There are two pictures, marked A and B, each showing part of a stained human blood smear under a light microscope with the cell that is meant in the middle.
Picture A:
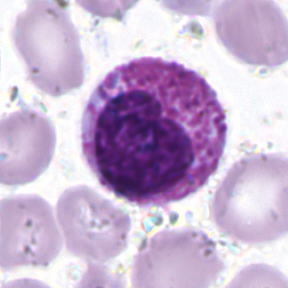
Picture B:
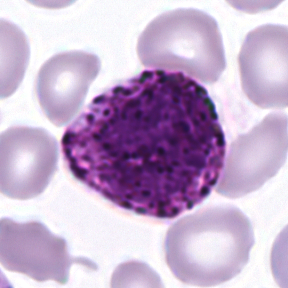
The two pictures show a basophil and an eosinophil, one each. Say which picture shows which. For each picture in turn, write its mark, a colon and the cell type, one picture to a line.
A: eosinophil
B: basophil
